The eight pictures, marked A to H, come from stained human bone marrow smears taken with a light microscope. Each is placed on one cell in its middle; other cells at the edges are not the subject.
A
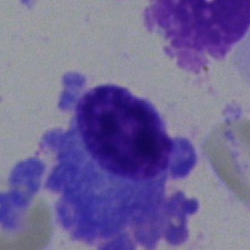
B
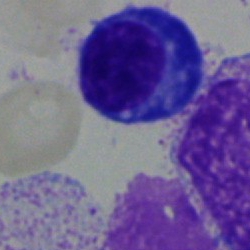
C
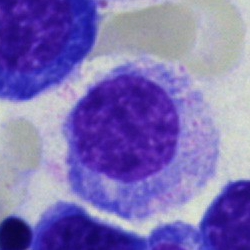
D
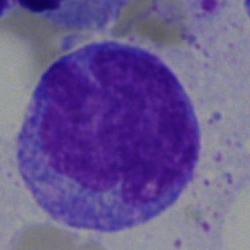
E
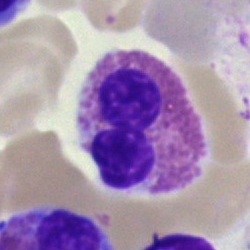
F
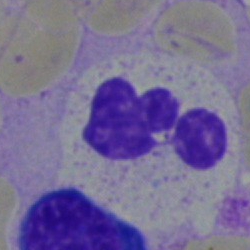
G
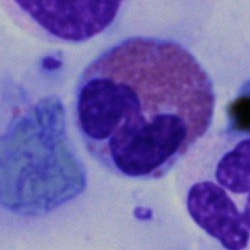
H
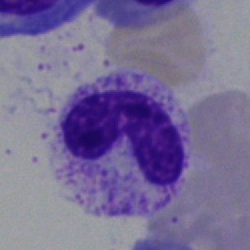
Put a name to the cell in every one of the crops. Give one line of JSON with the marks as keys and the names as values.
{"A": "plasma cell", "B": "plasma cell", "C": "myelocyte", "D": "monocyte", "E": "eosinophil", "F": "segmented neutrophil", "G": "eosinophil", "H": "band neutrophil"}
